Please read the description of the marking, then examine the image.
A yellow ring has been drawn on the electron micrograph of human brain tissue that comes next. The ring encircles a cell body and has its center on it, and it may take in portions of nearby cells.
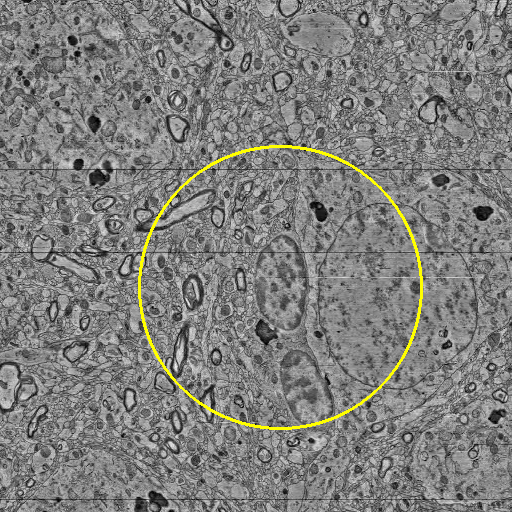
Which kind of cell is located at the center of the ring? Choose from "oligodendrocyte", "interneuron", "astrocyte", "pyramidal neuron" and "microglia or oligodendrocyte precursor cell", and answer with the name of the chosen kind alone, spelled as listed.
oligodendrocyte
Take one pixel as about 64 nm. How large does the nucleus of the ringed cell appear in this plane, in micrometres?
In this plane, about 6 micrometres in length and 3 in width.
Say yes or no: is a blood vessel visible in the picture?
No, no vessel shows anywhere in the image.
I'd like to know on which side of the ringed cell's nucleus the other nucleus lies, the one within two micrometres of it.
The other nucleus lies to the right of it.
